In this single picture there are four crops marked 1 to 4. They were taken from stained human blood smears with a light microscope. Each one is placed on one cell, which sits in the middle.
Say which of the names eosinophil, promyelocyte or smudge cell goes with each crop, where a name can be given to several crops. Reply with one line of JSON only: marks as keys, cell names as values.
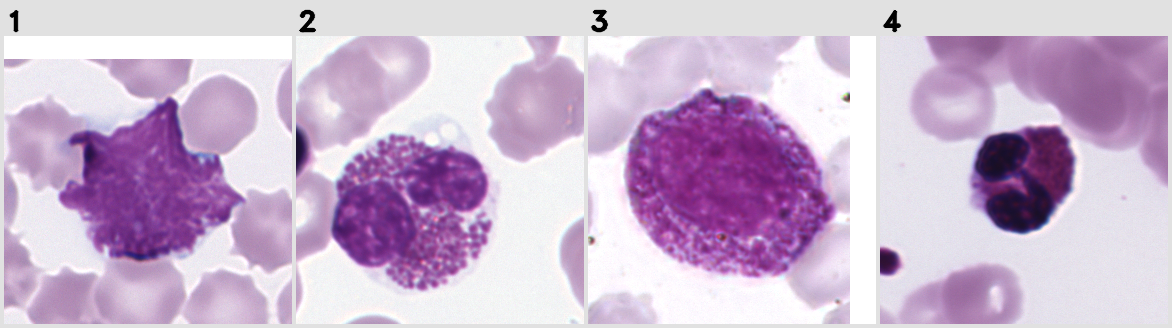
{"1": "smudge cell", "2": "eosinophil", "3": "promyelocyte", "4": "eosinophil"}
